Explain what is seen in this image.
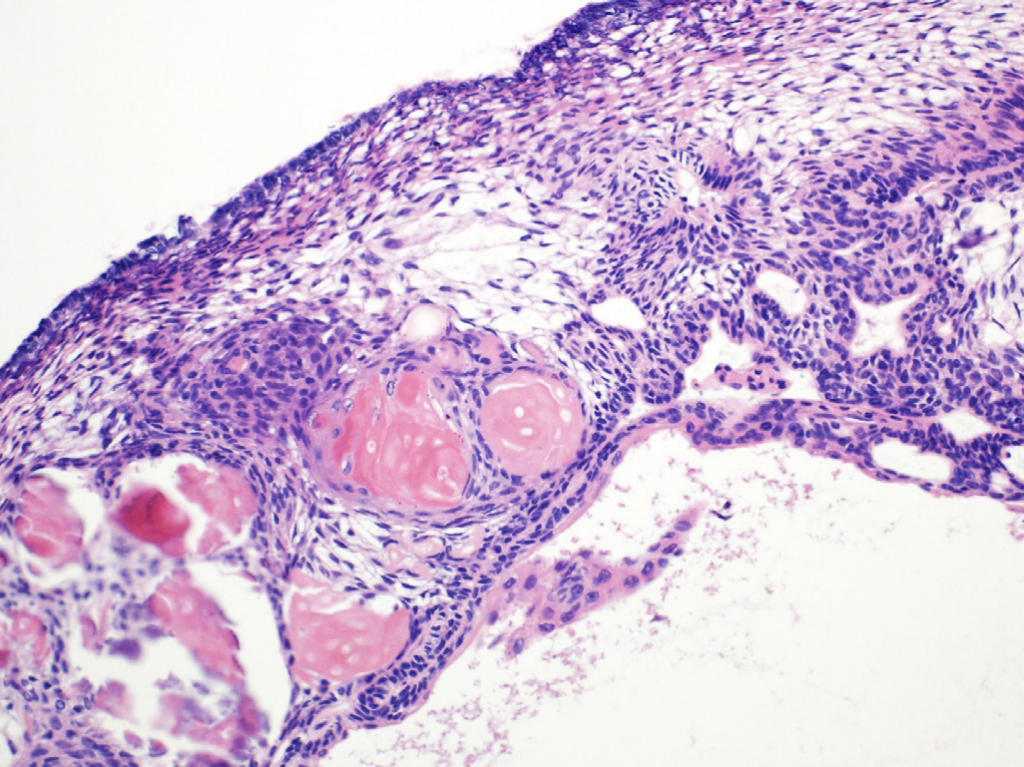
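This is the wall of a cyst lined by proliferating squamous epithelium. The epithelium has crowded, darkly staining cells with oval nuclei along its edges, and a looser, pale network of star-shaped cells in its middle. Within it lie rounded, glassy, bright pink deposits of keratin, some with faint ghostly outlines, wrapped by flattened cells.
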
